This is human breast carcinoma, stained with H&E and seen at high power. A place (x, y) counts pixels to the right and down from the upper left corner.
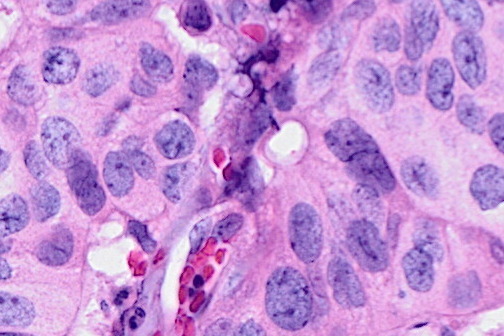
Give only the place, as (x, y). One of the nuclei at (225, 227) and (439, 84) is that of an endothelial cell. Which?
(225, 227)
